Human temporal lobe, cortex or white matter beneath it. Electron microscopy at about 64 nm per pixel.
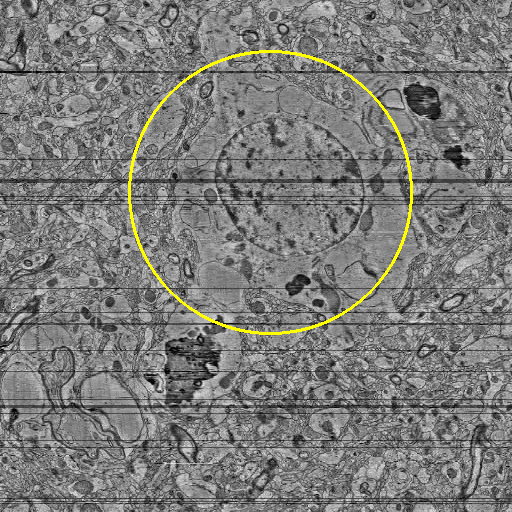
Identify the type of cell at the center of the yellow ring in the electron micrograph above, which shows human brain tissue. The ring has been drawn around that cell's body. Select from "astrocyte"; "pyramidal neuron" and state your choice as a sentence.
The yellow ring is centered on the body of an astrocyte.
